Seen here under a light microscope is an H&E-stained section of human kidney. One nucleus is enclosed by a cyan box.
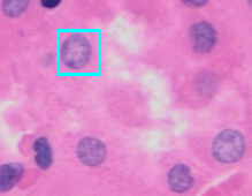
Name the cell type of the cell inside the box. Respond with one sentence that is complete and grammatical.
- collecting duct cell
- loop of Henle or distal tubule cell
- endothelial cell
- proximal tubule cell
Microscopically, the cell inside the box is categorized as a proximal tubule cell.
